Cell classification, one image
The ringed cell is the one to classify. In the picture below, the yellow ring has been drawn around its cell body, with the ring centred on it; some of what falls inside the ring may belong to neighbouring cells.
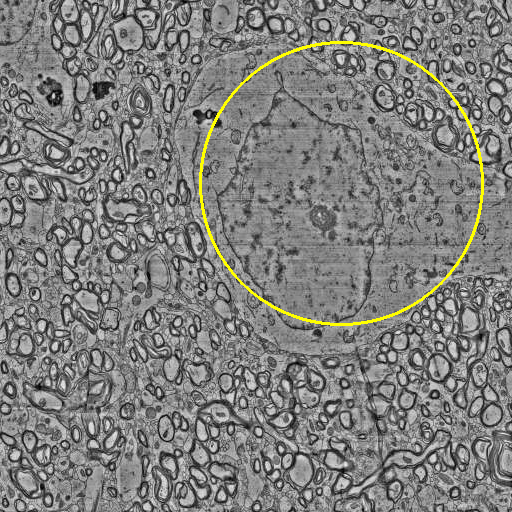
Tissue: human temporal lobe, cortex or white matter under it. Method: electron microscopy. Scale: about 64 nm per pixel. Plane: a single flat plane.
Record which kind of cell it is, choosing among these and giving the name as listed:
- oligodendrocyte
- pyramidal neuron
pyramidal neuron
